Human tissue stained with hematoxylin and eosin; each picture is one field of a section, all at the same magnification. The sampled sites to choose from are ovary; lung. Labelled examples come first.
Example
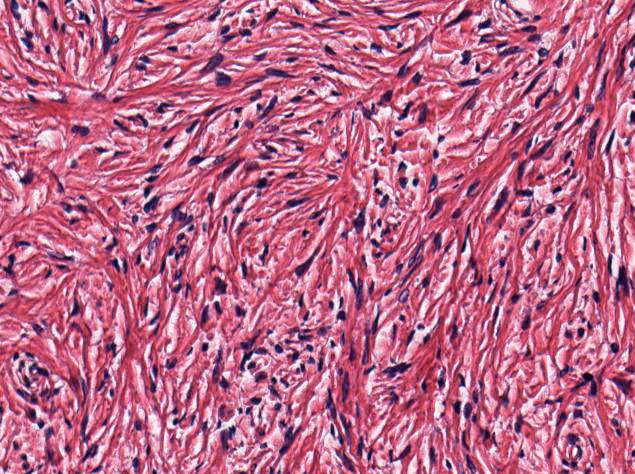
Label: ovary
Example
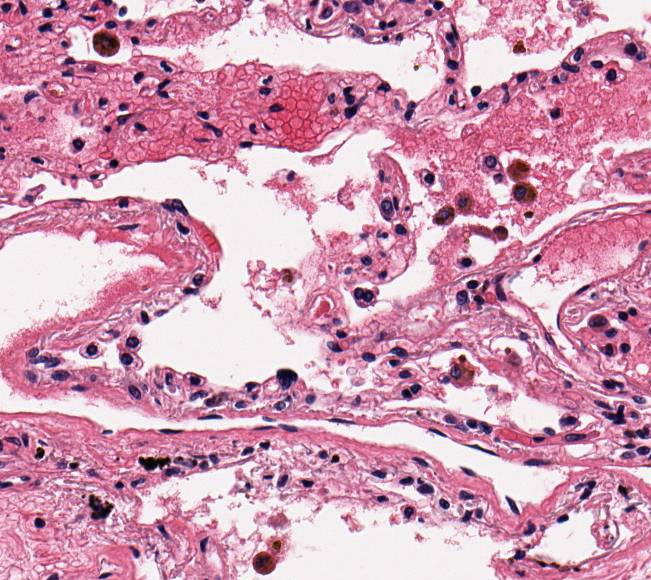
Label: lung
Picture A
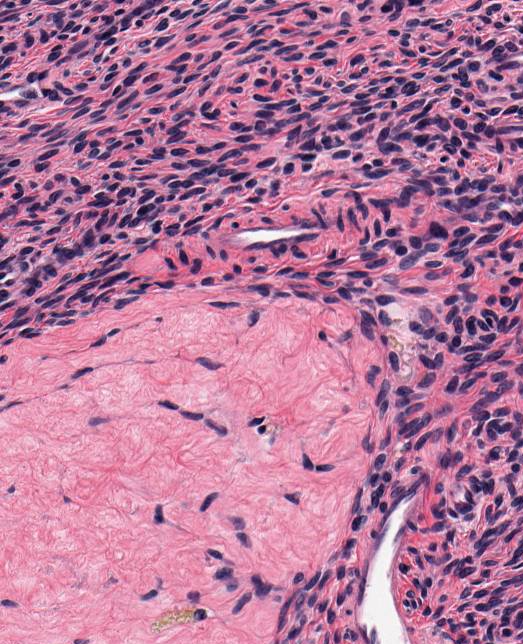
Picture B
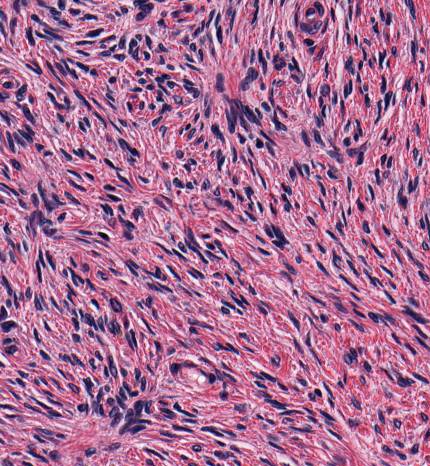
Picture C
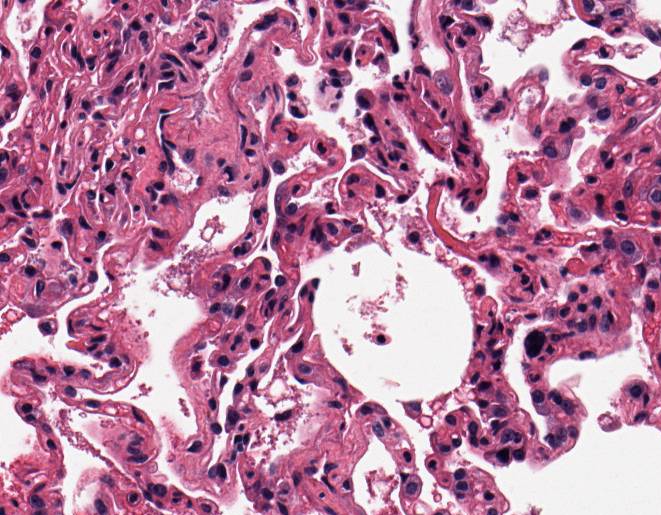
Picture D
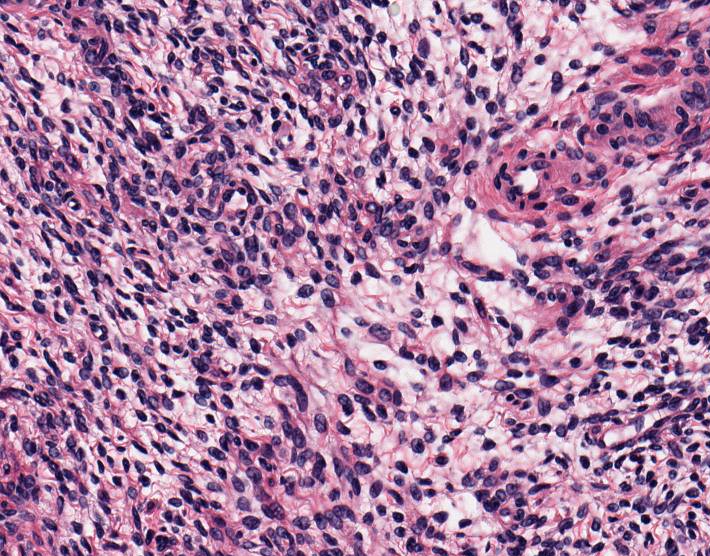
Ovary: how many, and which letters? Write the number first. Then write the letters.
3: A, B, D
